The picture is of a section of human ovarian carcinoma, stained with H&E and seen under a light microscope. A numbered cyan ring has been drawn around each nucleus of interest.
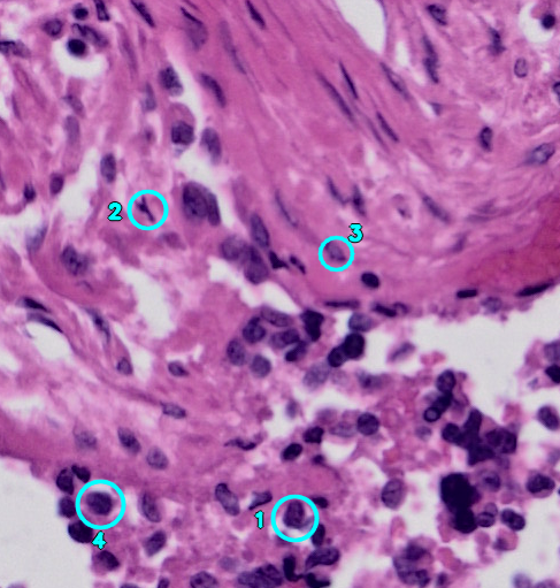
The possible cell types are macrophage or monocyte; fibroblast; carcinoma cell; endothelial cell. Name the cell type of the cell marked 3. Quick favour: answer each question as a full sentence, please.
Cell 3 in the field of view is a fibroblast.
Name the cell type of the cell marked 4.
The cell that bears the number 4 is a carcinoma cell.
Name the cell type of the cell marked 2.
The cell pointed out by number 2 is a fibroblast.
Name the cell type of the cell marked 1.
The numeral 1 marks a carcinoma cell in this section.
